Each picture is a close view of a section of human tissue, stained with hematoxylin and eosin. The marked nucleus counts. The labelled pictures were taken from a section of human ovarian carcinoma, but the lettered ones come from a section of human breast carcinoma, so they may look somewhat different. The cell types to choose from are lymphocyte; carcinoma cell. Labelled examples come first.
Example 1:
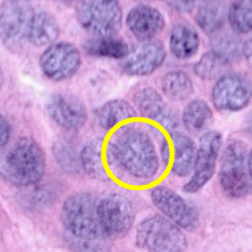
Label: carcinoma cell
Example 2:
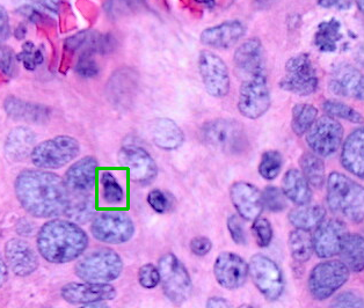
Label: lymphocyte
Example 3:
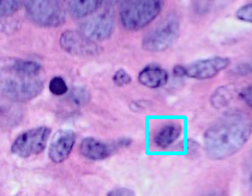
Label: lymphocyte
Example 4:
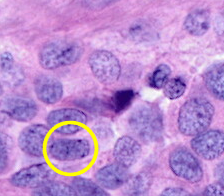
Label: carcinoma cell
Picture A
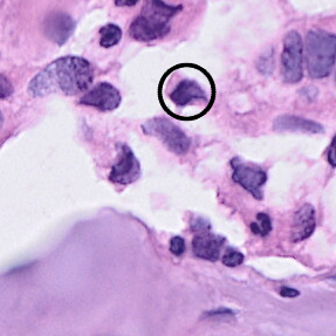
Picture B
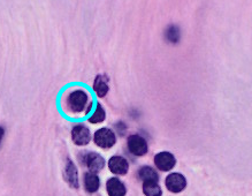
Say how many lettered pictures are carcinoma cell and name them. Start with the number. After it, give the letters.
1, namely A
